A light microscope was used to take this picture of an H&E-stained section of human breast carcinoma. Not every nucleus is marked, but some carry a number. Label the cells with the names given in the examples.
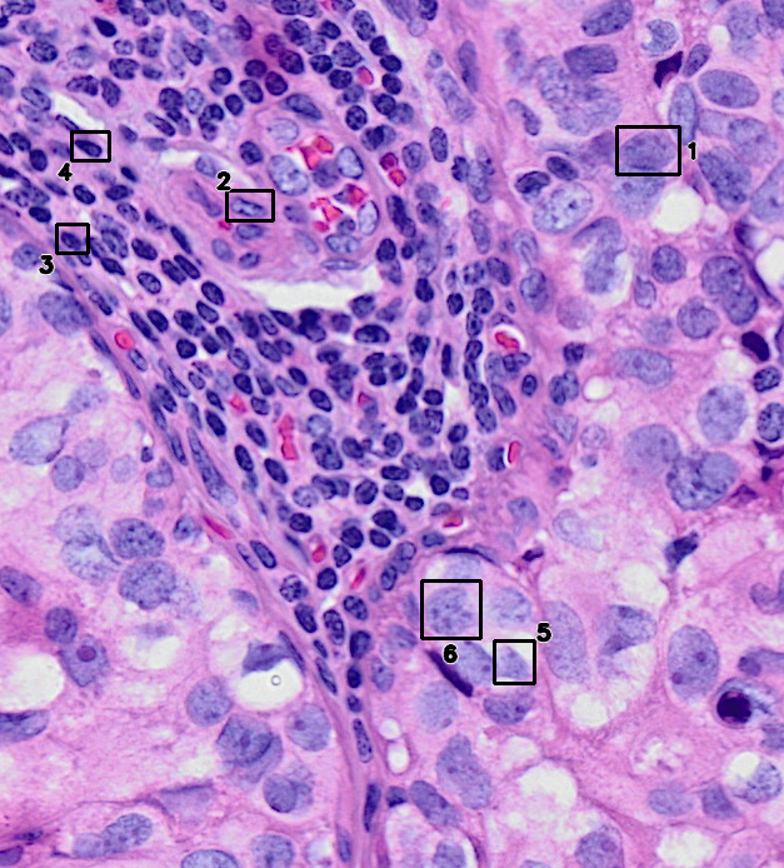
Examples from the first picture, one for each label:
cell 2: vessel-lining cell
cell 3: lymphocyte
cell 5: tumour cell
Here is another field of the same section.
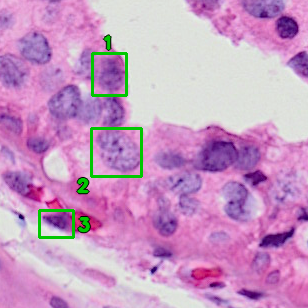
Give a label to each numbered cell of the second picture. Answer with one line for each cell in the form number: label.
1: tumour cell
2: tumour cell
3: vessel-lining cell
